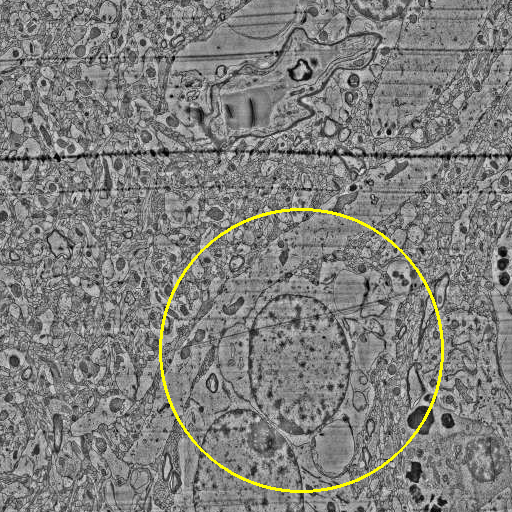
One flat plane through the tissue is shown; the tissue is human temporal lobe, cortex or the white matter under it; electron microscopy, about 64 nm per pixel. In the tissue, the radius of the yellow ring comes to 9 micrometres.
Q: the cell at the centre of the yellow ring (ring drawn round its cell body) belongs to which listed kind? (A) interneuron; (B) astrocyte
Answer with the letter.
B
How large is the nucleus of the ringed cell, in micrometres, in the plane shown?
Roughly 9 micrometres by 7 micrometres, in this plane.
